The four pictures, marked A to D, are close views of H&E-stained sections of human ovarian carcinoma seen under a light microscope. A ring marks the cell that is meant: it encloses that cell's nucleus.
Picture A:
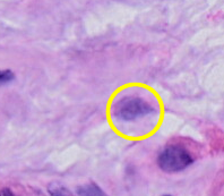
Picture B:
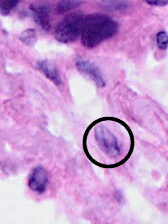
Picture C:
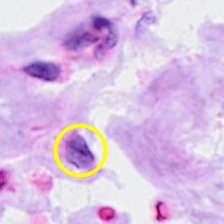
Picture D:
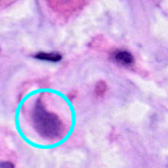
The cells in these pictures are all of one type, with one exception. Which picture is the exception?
D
